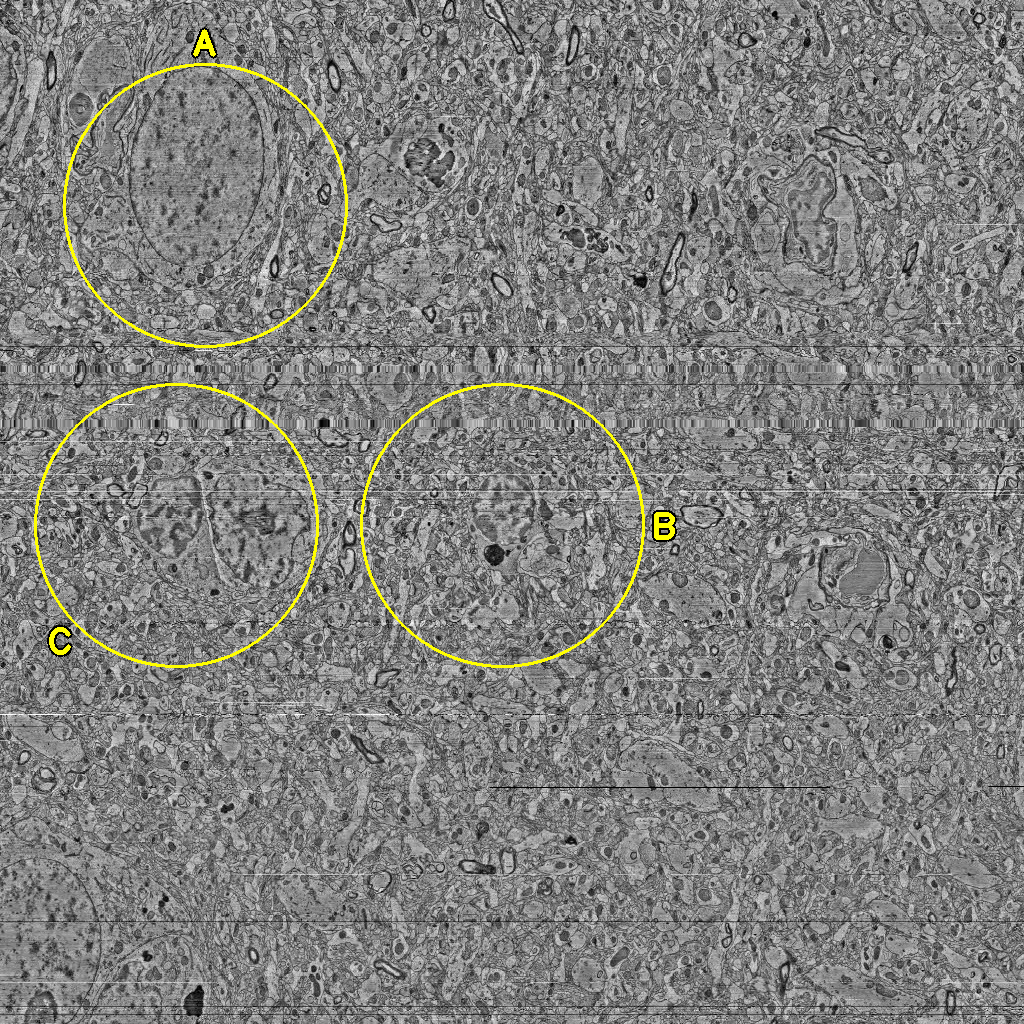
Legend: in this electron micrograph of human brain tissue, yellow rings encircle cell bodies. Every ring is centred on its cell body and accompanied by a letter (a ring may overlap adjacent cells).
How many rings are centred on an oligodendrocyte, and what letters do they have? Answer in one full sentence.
There exist two rings lettered B and C, and an oligodendrocyte lies at the centre of each.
